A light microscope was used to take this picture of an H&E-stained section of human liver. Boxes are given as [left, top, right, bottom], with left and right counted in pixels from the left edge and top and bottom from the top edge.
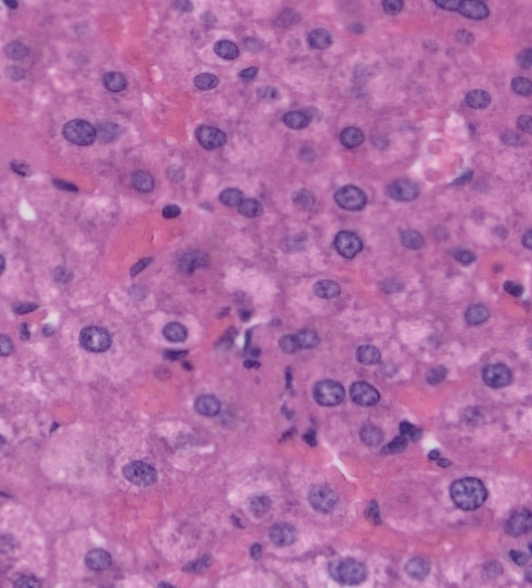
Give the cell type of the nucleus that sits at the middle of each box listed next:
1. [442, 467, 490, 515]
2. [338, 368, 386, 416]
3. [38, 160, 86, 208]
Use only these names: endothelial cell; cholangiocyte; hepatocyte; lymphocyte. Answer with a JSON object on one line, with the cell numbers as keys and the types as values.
{"1": "hepatocyte", "2": "hepatocyte", "3": "endothelial cell"}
